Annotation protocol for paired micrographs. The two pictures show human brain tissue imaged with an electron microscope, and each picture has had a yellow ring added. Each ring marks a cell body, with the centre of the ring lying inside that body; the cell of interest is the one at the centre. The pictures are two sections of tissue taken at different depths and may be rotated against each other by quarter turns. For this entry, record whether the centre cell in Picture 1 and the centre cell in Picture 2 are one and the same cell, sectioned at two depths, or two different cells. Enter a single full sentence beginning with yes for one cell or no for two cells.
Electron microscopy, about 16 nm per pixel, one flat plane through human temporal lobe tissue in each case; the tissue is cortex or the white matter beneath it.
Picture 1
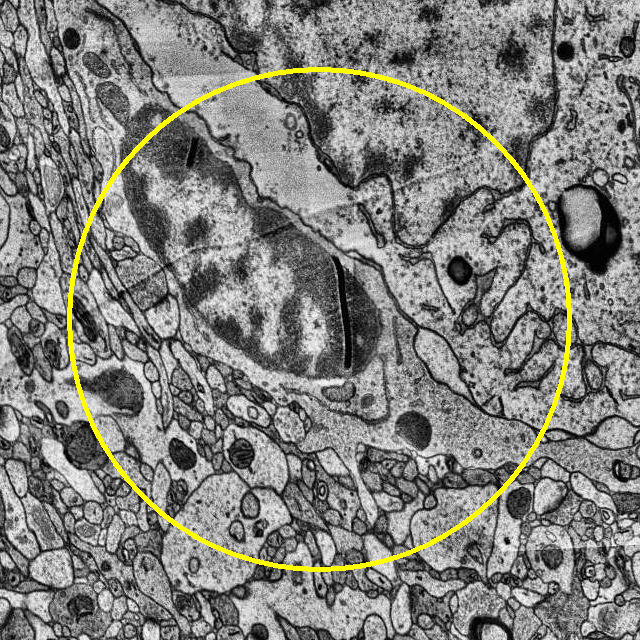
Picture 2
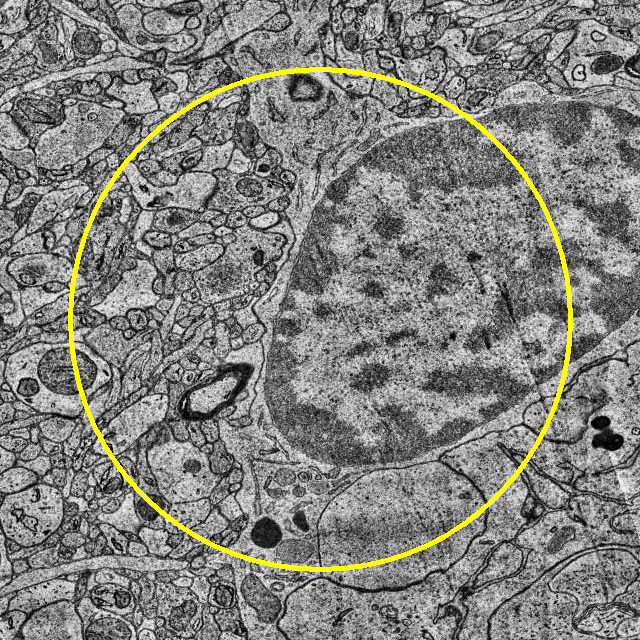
Yes, the second ring marks the same cell as the first.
